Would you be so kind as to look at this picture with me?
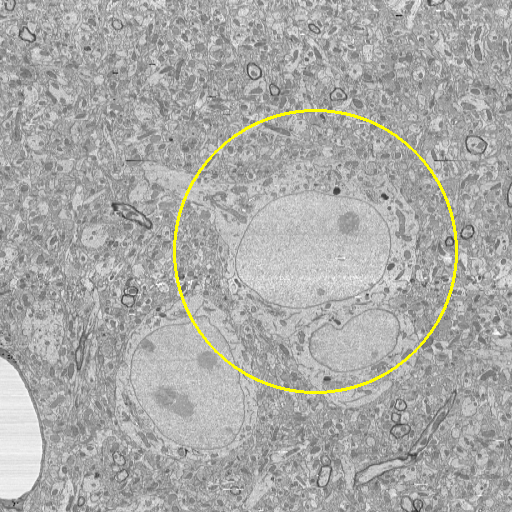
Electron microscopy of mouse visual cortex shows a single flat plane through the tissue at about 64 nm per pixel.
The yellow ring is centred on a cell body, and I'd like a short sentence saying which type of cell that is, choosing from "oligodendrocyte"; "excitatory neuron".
The cell body in the ring belongs to an excitatory neuron.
